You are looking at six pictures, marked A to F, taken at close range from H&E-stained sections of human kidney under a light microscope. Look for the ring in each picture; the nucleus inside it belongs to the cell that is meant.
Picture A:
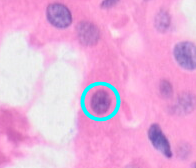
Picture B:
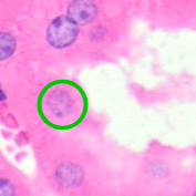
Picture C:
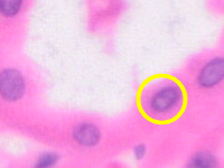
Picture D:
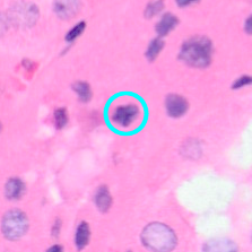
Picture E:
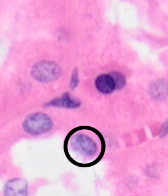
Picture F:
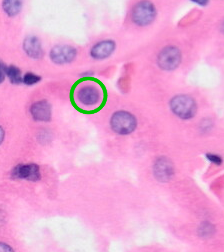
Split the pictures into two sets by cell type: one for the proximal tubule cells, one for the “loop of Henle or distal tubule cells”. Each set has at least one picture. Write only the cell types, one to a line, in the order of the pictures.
proximal tubule cell
proximal tubule cell
proximal tubule cell
loop of Henle or distal tubule cell
loop of Henle or distal tubule cell
proximal tubule cell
